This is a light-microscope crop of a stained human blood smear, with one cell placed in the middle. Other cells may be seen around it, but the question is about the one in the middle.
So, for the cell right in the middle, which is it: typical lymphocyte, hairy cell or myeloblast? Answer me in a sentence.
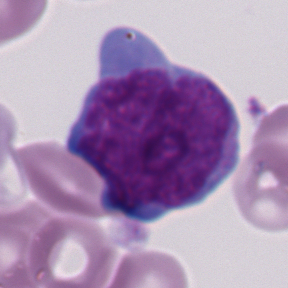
Looking at the middle of the crop, the cell there is a myeloblast.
